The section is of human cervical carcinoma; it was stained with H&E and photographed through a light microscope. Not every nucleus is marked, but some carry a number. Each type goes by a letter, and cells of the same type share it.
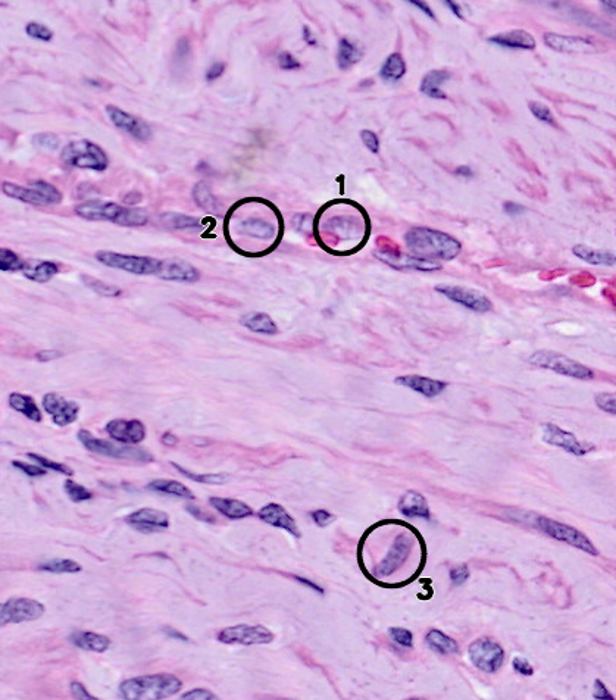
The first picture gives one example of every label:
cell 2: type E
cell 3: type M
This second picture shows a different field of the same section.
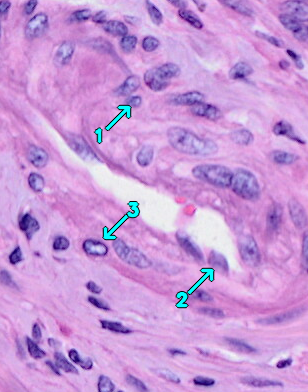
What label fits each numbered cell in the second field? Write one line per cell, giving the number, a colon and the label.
1: type M
2: type E
3: type M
